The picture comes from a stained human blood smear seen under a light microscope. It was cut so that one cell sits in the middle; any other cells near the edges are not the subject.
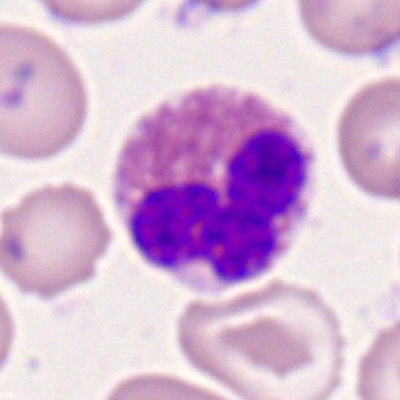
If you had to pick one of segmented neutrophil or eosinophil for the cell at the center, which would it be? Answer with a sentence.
The cell that lies at the centre of the crop is an eosinophil.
